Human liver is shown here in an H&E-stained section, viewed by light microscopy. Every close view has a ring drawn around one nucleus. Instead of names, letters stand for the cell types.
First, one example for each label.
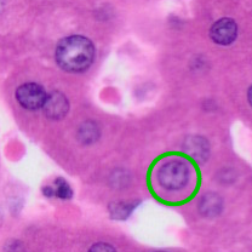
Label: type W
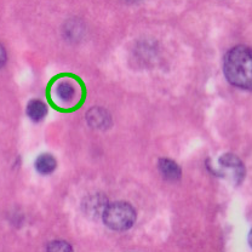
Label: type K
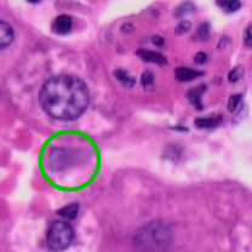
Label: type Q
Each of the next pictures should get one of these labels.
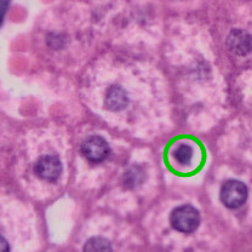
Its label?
type K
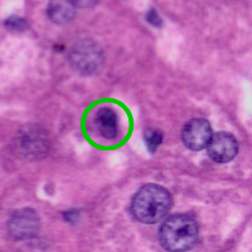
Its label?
type Q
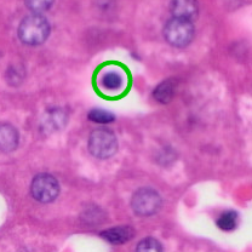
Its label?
type K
